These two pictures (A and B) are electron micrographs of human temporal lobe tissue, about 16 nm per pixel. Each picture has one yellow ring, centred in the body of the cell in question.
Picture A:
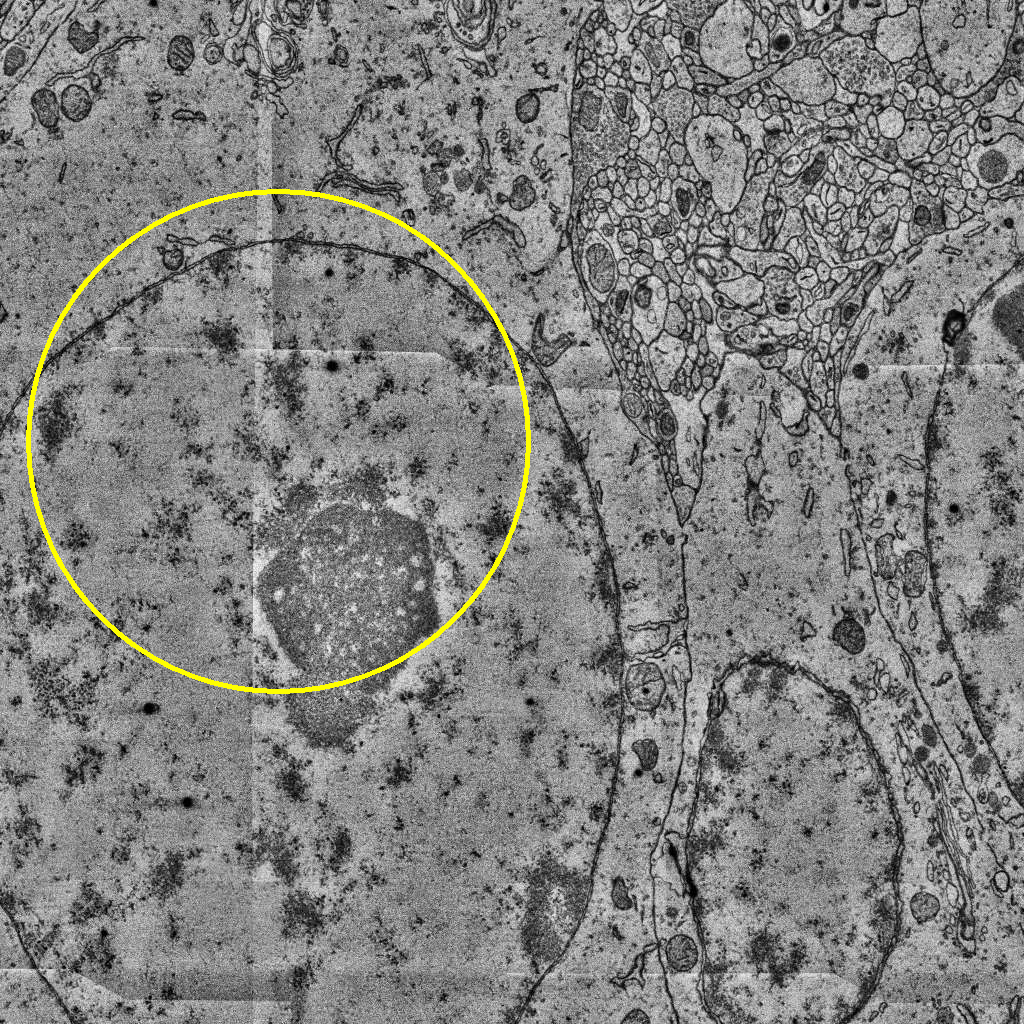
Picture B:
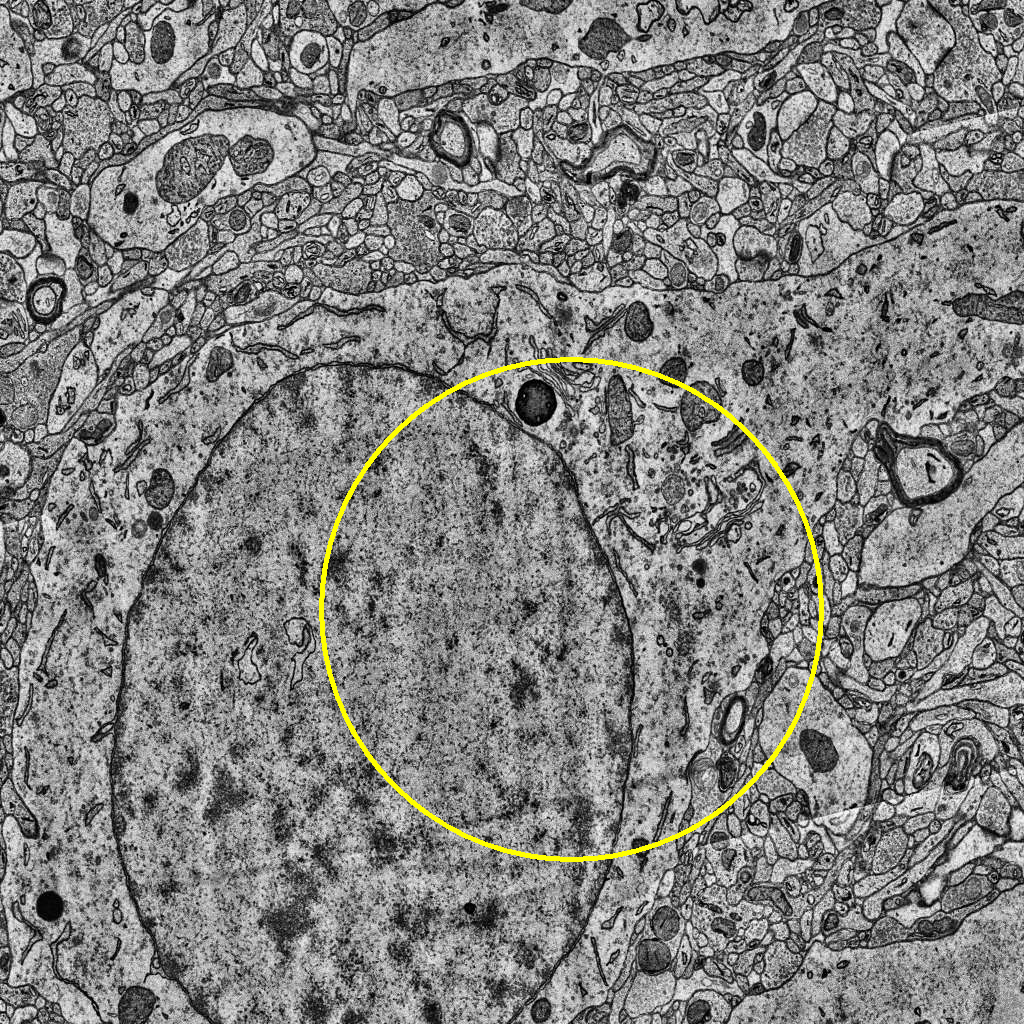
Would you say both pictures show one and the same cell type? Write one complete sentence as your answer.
Yes; the cells in both pictures are pyramidal neurons.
